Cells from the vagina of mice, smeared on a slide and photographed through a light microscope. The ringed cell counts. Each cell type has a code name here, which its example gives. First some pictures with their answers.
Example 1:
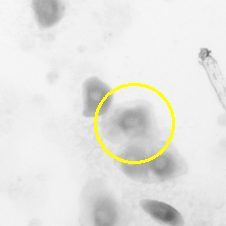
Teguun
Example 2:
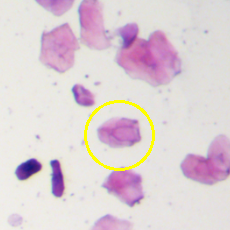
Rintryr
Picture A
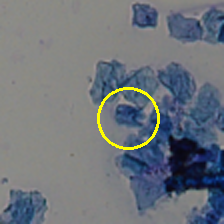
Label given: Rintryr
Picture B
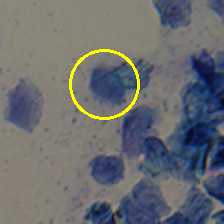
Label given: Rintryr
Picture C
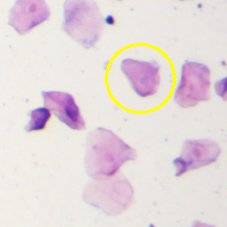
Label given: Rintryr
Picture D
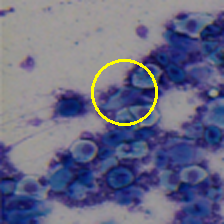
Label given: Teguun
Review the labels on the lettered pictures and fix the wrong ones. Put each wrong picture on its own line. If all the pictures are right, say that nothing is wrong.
All labels are correct.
